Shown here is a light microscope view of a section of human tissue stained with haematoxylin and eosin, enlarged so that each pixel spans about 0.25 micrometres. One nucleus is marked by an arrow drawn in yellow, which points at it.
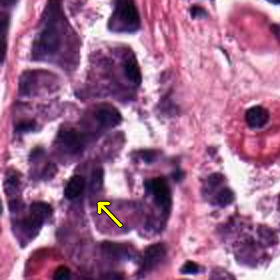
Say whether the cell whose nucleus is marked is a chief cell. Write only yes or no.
yes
